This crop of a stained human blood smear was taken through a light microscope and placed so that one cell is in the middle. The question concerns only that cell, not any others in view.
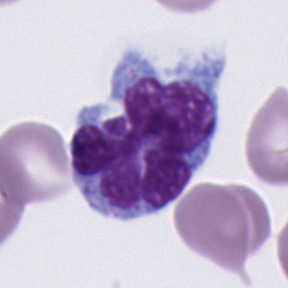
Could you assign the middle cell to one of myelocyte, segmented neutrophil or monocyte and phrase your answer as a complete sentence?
On this slide crop, the central cell is a monocyte.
